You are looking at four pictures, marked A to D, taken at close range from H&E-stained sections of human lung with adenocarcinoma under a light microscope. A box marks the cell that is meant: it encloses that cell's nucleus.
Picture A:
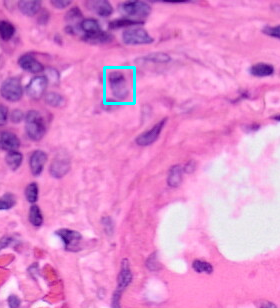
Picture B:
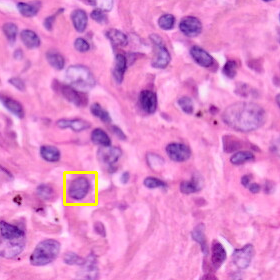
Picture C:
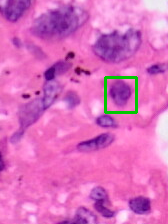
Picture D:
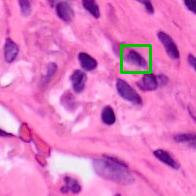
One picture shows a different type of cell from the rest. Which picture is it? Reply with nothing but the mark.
B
